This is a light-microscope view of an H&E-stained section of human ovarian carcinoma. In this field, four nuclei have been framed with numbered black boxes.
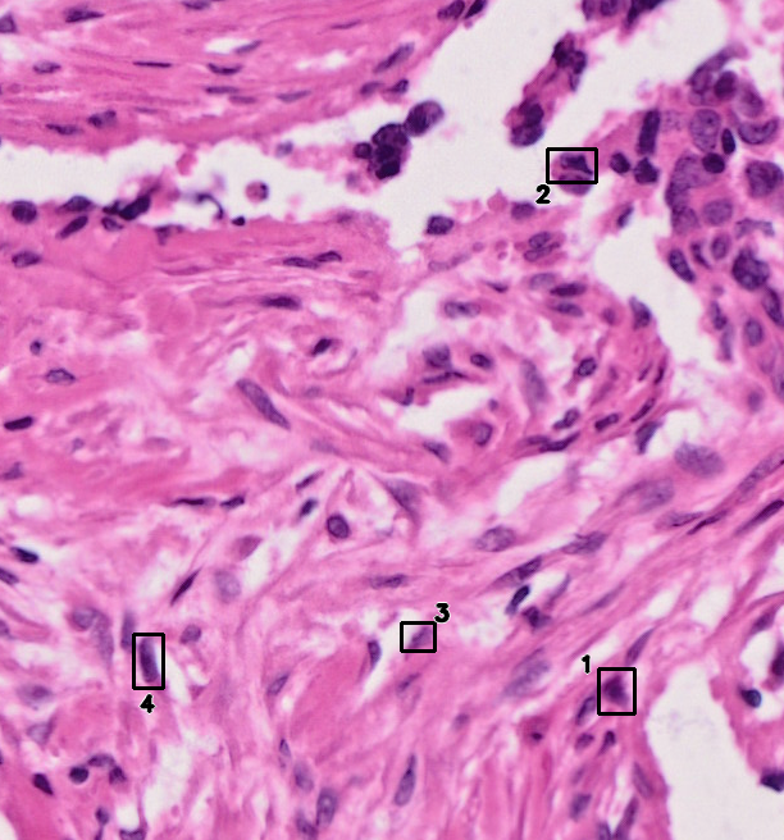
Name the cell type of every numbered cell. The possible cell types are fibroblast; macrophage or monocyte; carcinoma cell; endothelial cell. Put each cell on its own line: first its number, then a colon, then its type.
1: fibroblast
2: macrophage or monocyte
3: fibroblast
4: fibroblast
